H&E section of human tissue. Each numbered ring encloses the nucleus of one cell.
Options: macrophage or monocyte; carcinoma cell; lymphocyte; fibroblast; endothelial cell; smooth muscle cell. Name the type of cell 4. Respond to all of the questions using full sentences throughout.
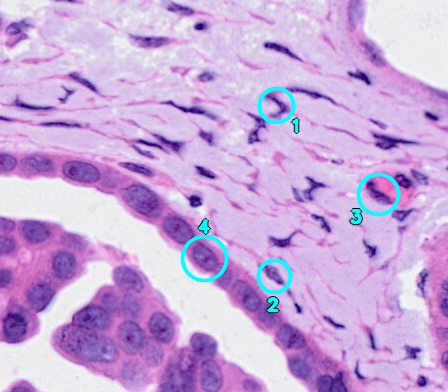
The cell that bears the number 4 is a carcinoma cell.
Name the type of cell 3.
The marked nucleus 3 is that of an endothelial cell.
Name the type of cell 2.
The cell bearing label 2 corresponds to a fibroblast.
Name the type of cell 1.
The one labeled 1 is a fibroblast, to put it simply.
